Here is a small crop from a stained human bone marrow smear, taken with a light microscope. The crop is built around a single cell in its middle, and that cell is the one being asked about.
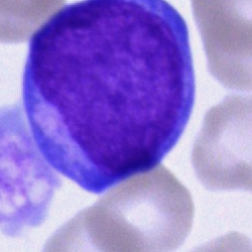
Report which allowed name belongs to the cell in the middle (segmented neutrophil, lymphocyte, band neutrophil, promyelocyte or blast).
blast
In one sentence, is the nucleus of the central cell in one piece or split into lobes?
What stands out is a nucleus forming one compact round, oval or kidney-shaped mass.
